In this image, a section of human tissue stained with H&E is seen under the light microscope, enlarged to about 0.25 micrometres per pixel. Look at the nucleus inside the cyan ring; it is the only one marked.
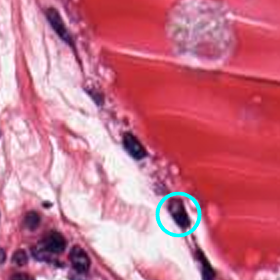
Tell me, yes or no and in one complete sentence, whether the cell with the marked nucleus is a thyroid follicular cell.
Yes, the marked nucleus is recognised as belonging to a thyroid follicular cell.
